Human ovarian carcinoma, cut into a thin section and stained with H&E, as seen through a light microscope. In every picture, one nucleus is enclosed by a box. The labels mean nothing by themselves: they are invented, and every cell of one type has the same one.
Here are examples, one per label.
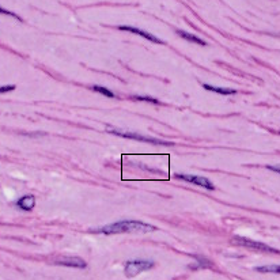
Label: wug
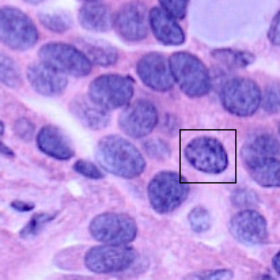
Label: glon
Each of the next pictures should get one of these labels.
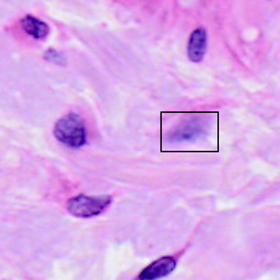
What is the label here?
wug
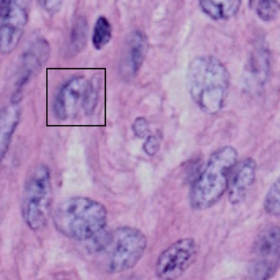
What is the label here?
wug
